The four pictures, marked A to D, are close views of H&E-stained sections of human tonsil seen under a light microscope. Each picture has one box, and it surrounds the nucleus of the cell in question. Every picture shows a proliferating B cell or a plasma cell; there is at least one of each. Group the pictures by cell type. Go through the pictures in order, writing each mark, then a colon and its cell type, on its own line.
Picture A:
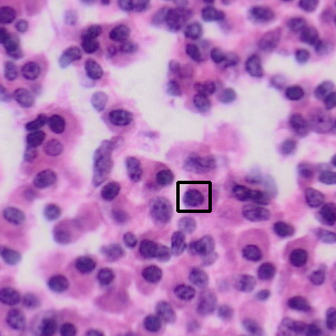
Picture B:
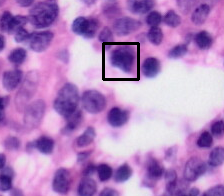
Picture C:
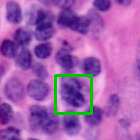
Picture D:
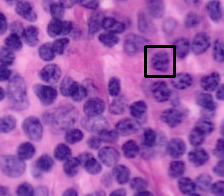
A: plasma cell
B: proliferating B cell
C: proliferating B cell
D: plasma cell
